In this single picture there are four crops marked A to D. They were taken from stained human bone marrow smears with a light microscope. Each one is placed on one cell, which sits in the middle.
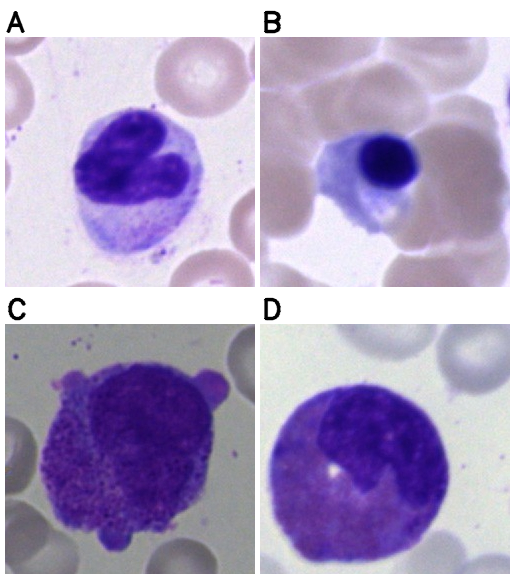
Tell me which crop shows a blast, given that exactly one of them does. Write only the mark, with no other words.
C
